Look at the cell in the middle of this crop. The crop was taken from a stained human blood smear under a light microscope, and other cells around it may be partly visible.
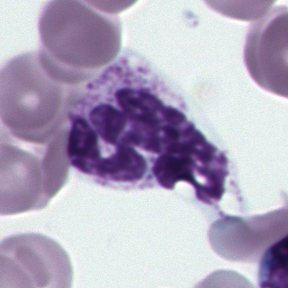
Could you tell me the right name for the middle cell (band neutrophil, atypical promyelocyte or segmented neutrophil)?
segmented neutrophil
